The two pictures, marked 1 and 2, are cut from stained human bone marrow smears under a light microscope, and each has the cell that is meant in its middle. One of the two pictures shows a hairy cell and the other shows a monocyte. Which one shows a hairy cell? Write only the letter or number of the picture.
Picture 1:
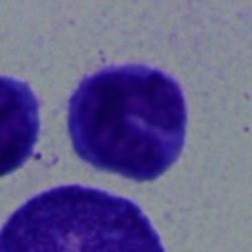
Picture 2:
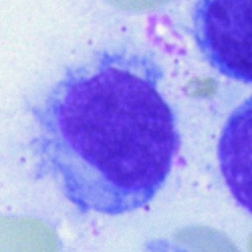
2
